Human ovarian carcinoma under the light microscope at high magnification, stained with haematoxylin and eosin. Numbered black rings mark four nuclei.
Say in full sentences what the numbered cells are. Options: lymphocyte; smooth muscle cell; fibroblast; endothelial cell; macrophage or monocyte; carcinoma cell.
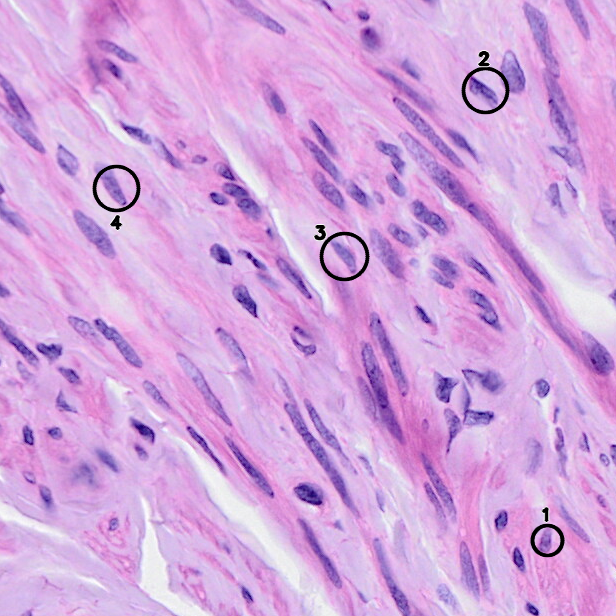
Cells 1, 3 and 4 are smooth muscle cells. Cell 2 is a fibroblast.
